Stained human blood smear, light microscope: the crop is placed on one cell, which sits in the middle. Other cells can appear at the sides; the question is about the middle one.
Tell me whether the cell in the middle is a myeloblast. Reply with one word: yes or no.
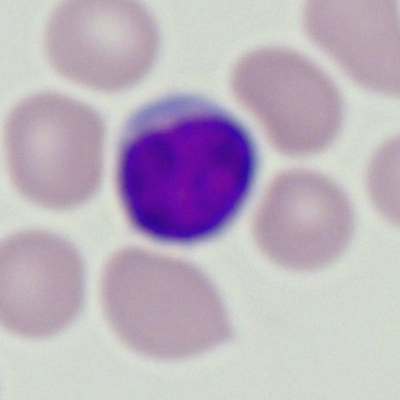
no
